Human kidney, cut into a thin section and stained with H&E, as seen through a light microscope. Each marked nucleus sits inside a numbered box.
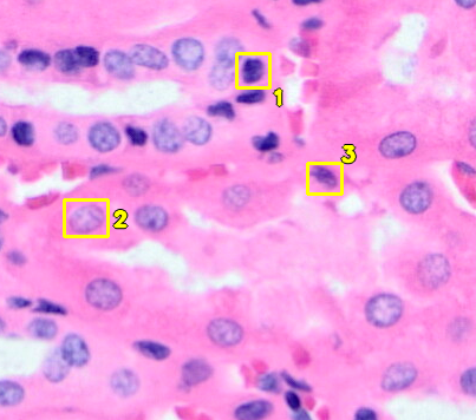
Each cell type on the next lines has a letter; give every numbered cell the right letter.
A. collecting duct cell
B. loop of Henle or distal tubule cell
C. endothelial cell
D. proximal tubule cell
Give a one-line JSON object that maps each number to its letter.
{"1": "A", "2": "D", "3": "D"}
